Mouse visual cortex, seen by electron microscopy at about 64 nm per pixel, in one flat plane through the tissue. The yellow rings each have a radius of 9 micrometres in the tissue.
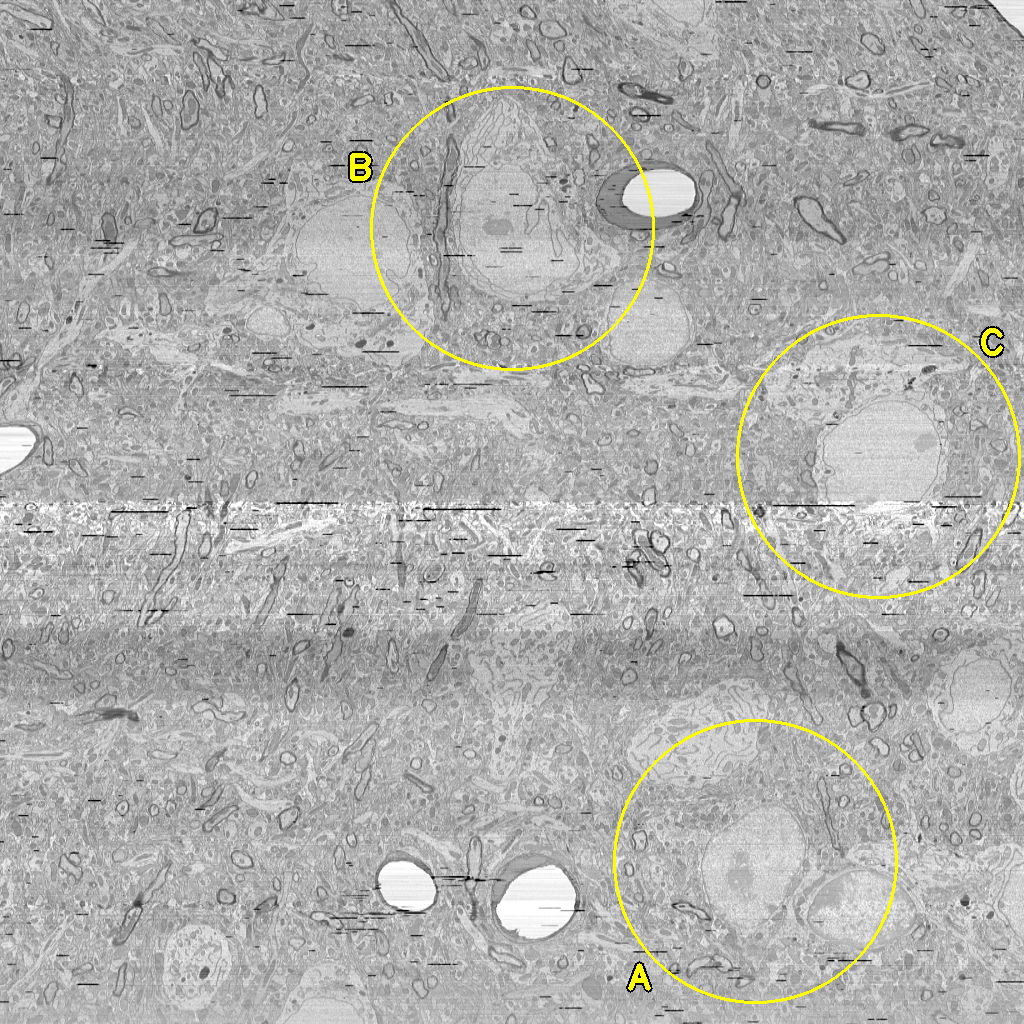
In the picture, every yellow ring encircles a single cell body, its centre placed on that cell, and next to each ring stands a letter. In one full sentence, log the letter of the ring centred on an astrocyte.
The ring with the requested cell at its centre bears the letter A.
